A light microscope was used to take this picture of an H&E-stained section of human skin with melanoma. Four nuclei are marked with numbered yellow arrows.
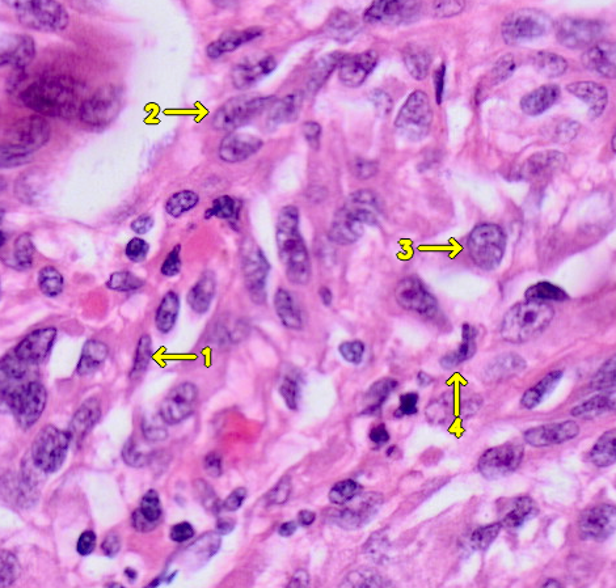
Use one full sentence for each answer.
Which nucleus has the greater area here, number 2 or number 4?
At about 2.5 times the area of nucleus 4, nucleus 2 is the larger of the two.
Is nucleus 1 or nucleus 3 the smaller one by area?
Nucleus 1 covers less area, with nucleus 3 about 2.5 times as large.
